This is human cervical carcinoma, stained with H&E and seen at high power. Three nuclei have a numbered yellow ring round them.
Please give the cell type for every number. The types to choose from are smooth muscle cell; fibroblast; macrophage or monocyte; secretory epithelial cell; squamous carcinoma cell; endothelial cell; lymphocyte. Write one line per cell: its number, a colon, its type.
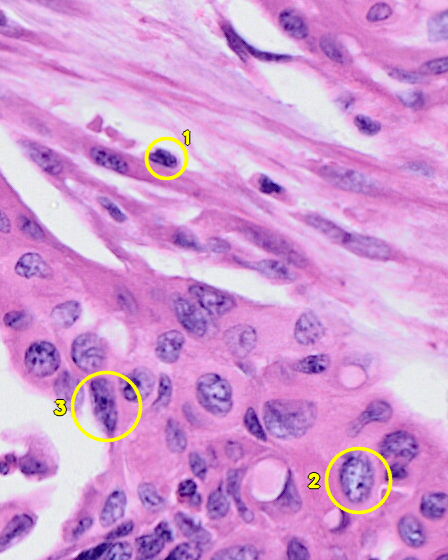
1: lymphocyte
2: squamous carcinoma cell
3: squamous carcinoma cell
